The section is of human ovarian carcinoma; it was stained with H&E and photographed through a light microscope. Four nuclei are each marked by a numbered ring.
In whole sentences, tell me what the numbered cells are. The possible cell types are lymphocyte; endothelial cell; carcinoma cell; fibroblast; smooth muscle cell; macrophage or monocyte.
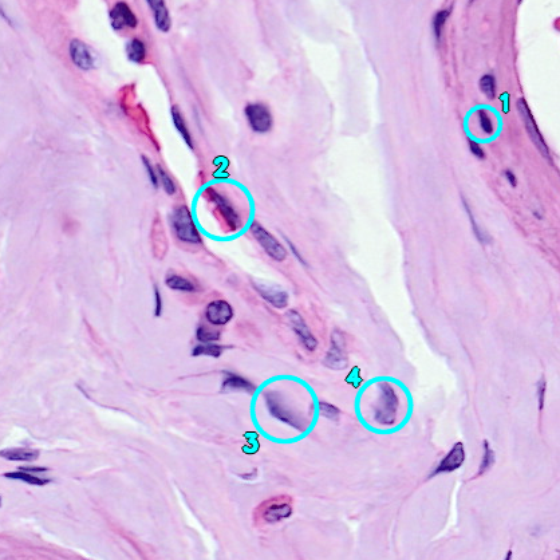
Cell 1 is a smooth muscle cell, cell 2 is an endothelial cell, cell 3 is a fibroblast and cell 4 is a fibroblast.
